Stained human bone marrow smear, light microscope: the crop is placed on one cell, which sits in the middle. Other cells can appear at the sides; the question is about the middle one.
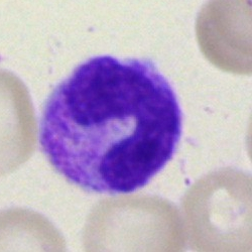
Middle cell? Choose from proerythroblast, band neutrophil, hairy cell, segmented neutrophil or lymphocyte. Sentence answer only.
Standing at the centre of this crop is a band neutrophil.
